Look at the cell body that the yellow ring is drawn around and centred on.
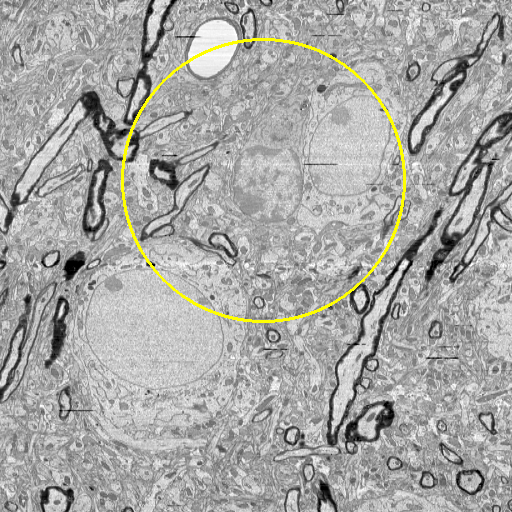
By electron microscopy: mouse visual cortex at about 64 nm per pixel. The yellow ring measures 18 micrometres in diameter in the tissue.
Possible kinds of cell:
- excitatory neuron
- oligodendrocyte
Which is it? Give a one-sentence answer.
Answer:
The centred cell body is that of an oligodendrocyte.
